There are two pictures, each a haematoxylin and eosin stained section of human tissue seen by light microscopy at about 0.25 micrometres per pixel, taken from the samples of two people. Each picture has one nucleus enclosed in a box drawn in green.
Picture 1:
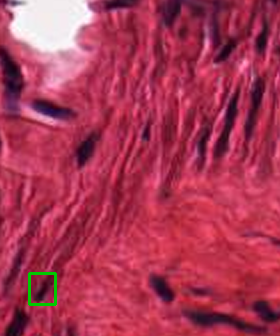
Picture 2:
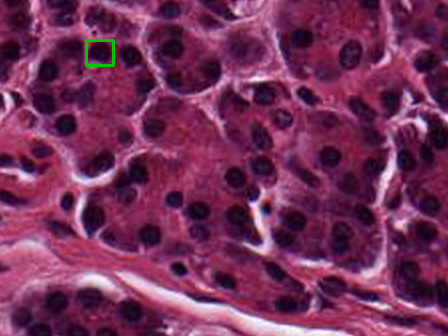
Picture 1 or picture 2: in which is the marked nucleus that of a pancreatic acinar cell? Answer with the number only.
2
